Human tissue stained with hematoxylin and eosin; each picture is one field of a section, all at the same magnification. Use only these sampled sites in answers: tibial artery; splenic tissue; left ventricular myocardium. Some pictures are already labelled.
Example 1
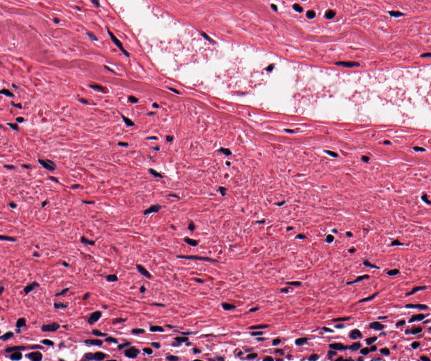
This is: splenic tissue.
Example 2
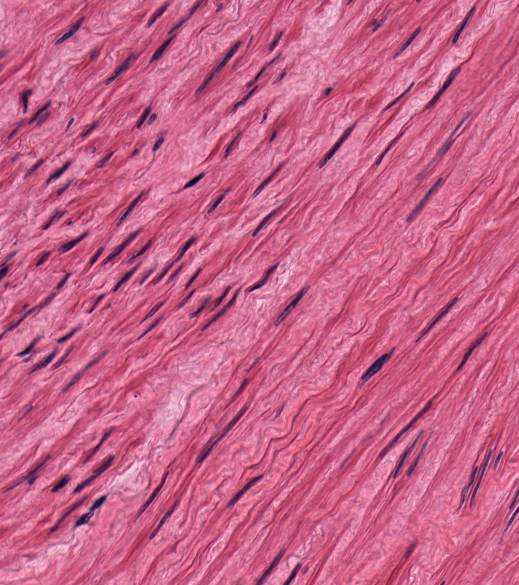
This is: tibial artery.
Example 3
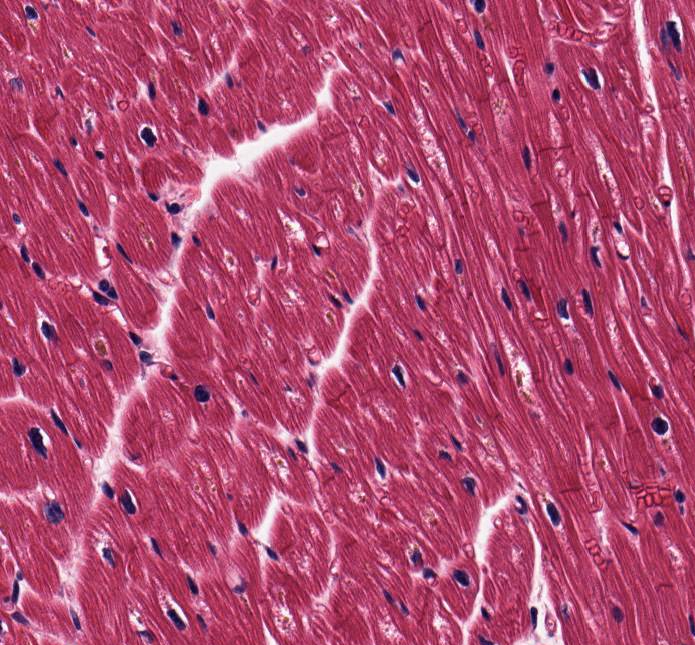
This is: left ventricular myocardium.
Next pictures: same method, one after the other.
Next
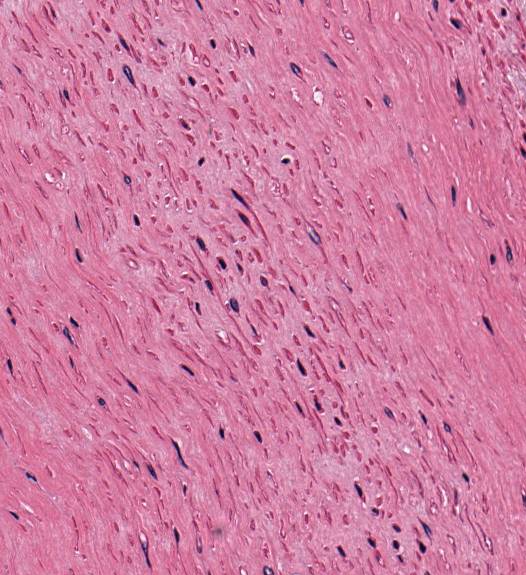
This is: tibial artery.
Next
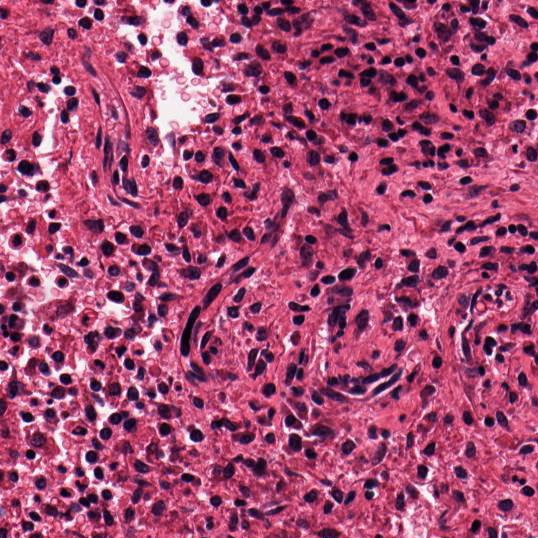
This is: splenic tissue.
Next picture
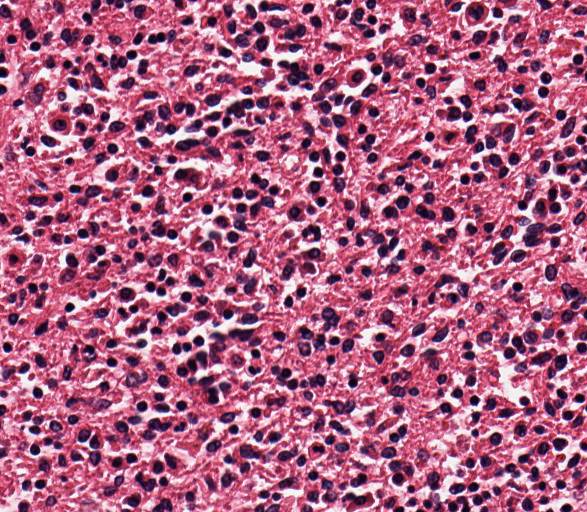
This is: splenic tissue.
